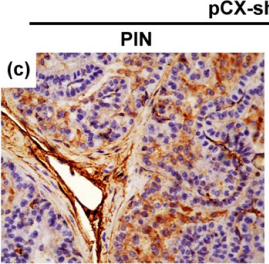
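The nuclei are blue, oval and enlarged, packed closely together with little order. Brown staining fills the cytoplasm between the nuclei across much of the field. A band of stroma with an open vessel-like lumen runs along the left side and is stained deep brown. The glandular outlines can still be made out, separated by thin strands of stroma.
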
